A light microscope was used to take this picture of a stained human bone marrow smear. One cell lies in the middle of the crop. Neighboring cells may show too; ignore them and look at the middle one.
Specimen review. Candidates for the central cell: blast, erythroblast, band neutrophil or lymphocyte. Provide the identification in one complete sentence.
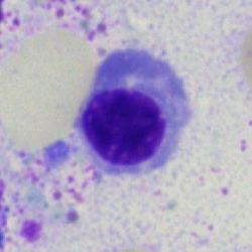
Centred in the crop is an erythroblast.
